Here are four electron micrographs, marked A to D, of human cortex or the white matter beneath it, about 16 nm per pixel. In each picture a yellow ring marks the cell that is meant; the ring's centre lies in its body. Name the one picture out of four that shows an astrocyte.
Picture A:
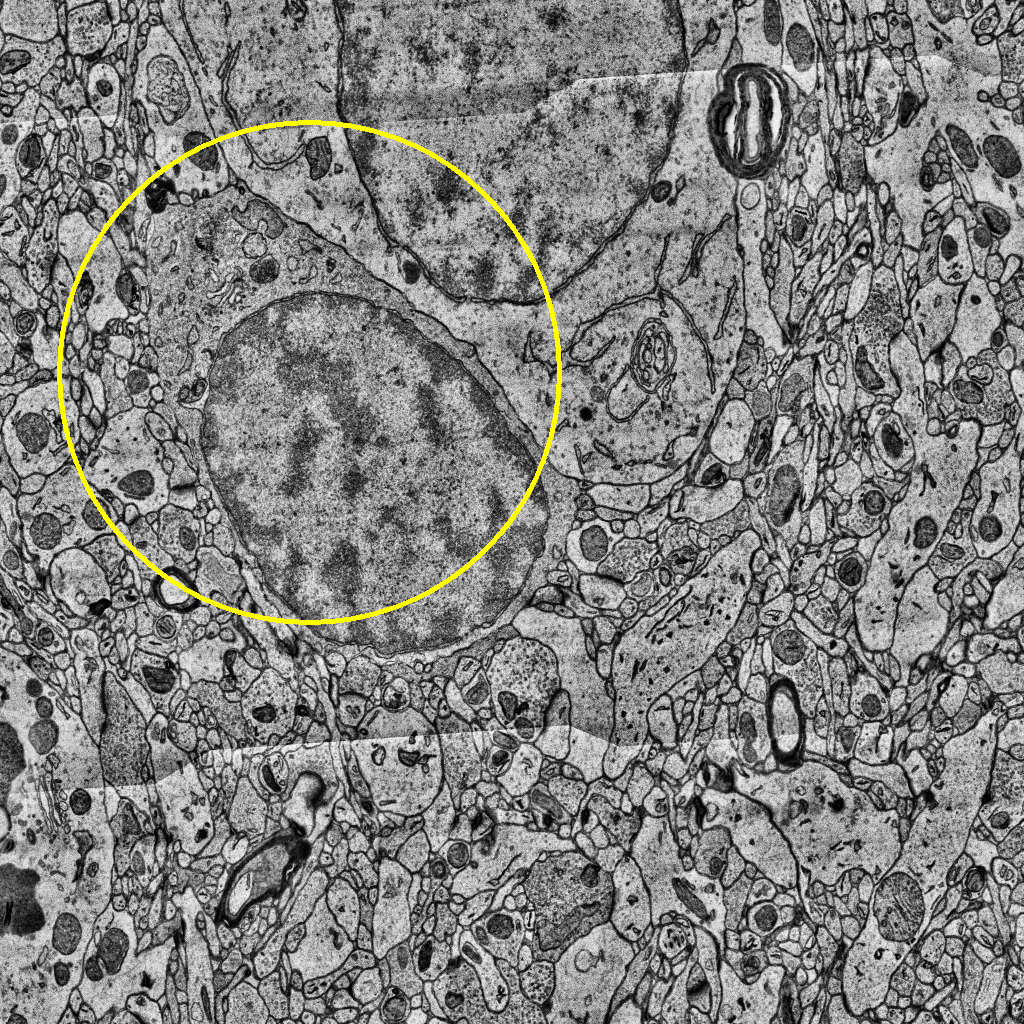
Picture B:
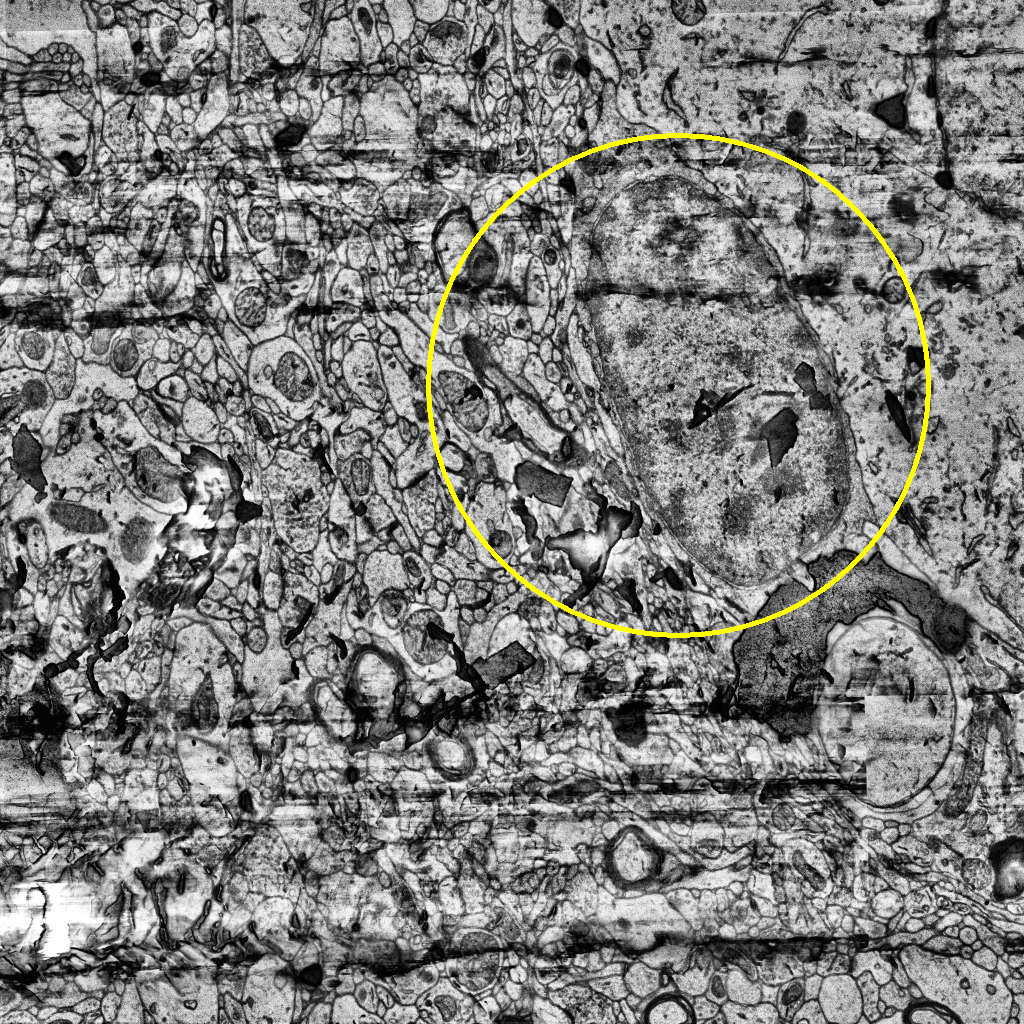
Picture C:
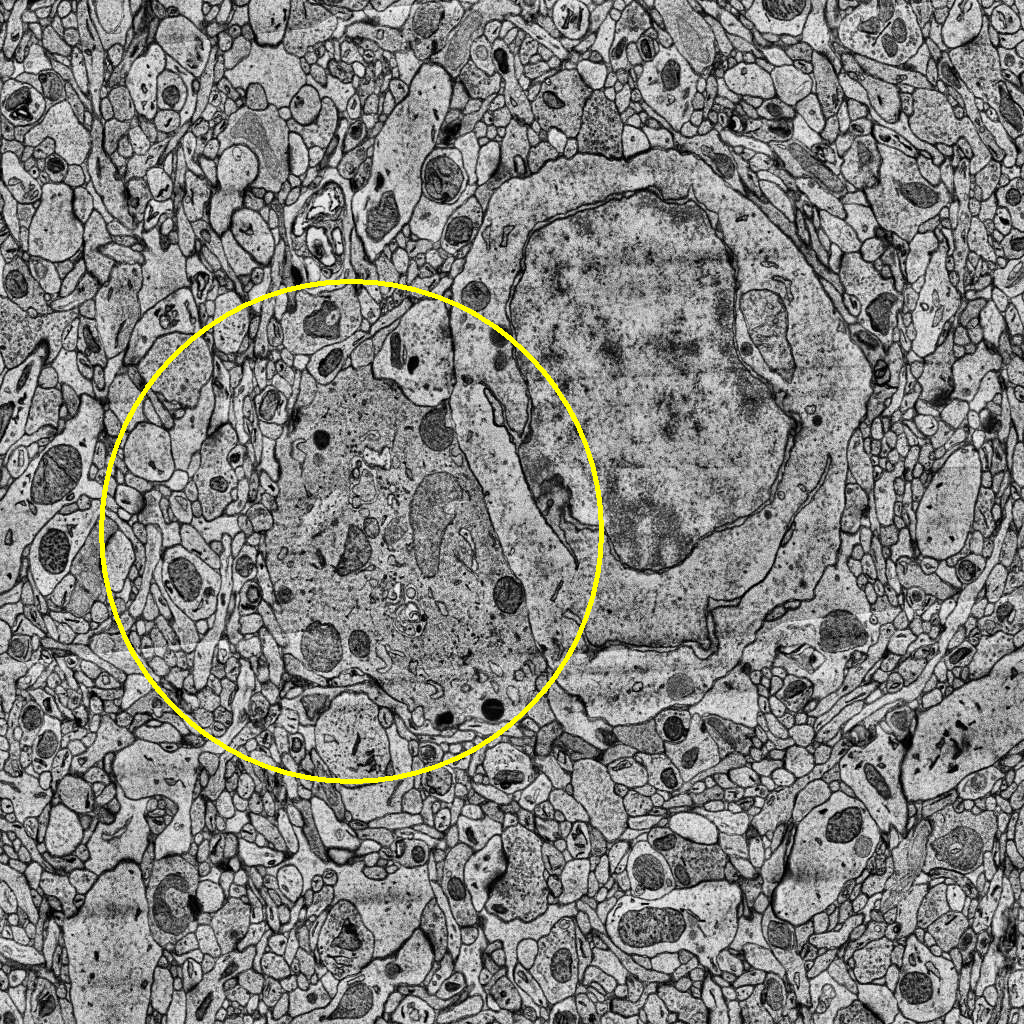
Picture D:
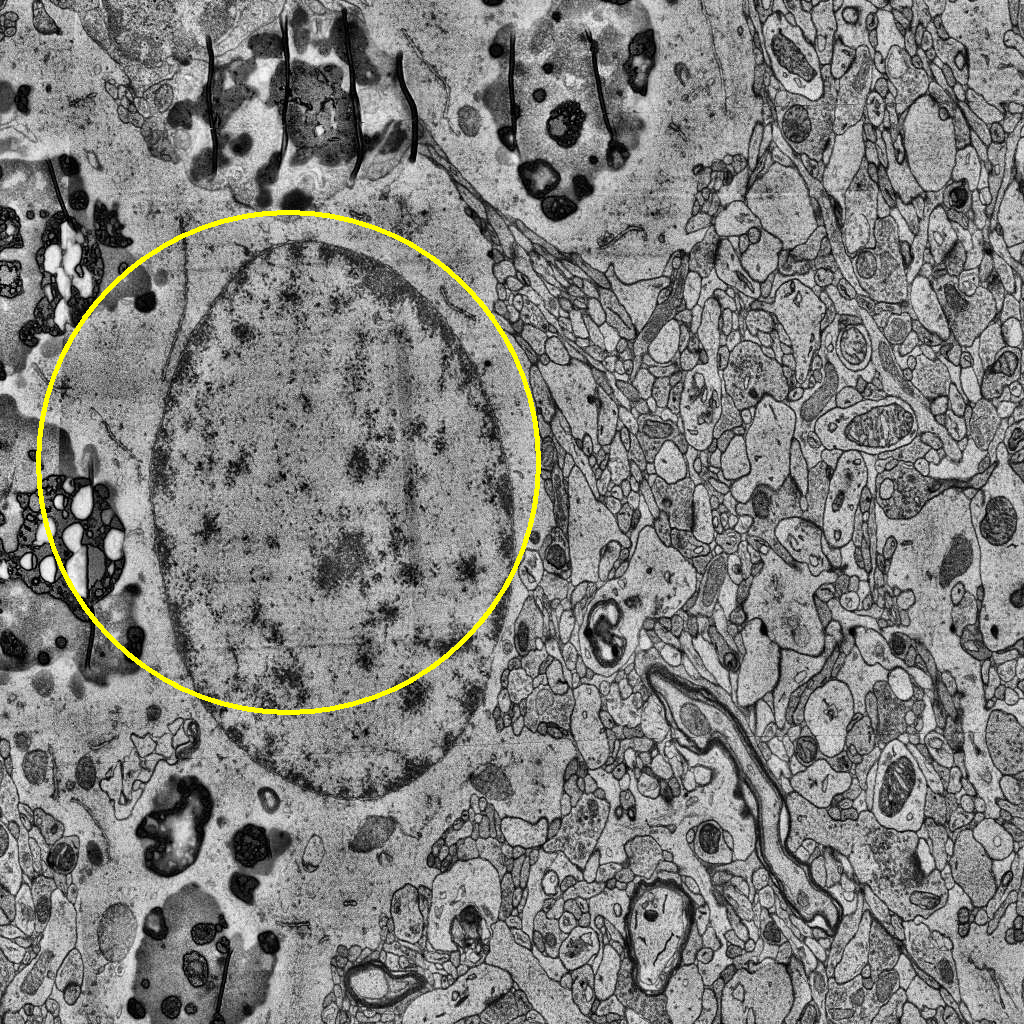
It is picture D that shows the astrocyte.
